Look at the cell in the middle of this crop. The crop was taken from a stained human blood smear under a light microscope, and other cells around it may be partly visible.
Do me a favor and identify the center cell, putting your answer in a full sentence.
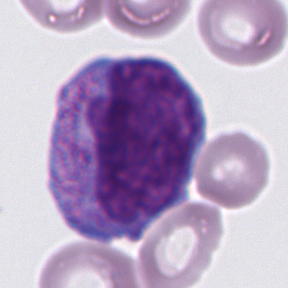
The cell sitting right in the middle is an atypical promyelocyte.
